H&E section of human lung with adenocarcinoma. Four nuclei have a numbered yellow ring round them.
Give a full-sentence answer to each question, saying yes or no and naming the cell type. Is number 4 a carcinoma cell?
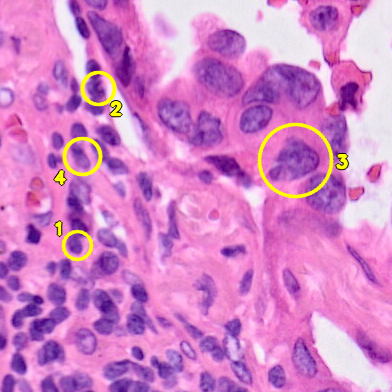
No, the nucleus numbered 4 belongs to a lymphocyte, not a carcinoma cell.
